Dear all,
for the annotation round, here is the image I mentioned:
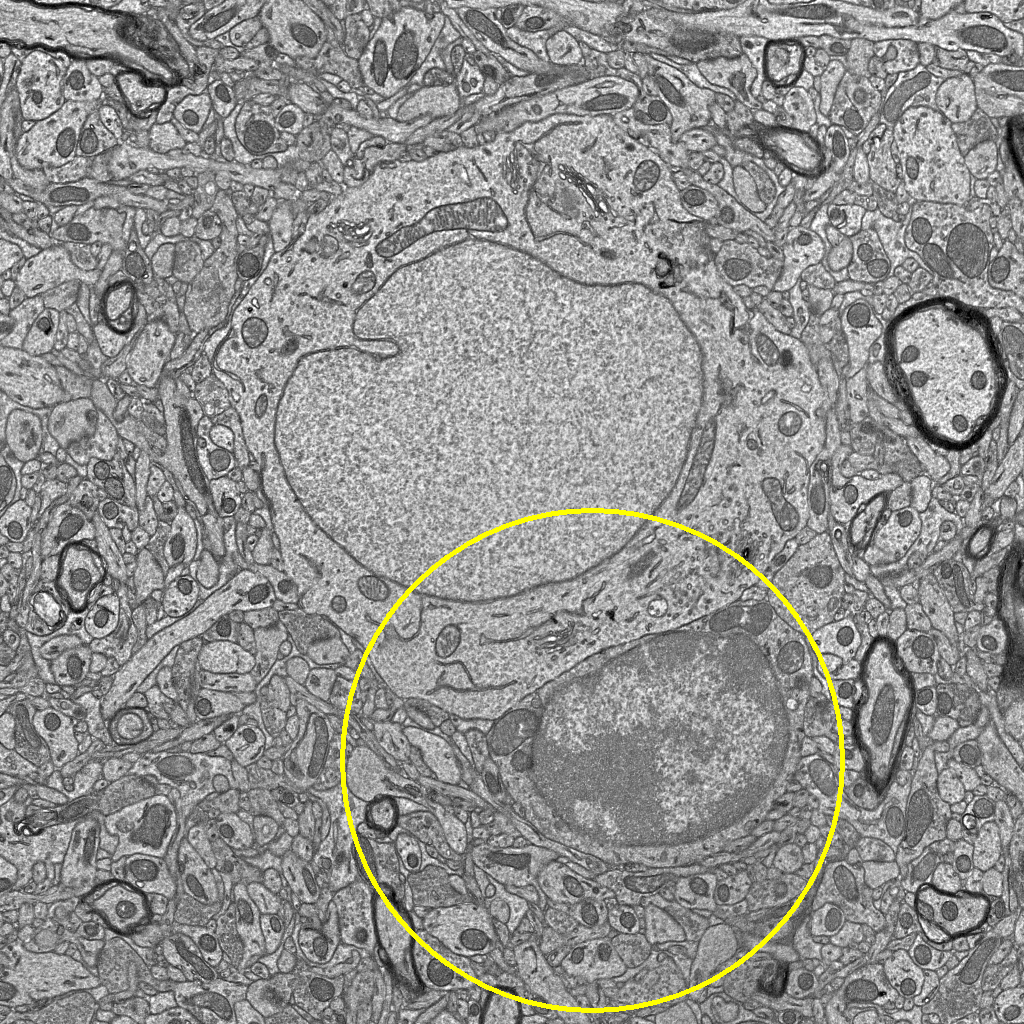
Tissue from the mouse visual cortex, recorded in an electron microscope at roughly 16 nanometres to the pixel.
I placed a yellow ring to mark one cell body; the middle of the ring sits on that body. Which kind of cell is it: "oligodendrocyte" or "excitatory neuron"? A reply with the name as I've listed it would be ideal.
oligodendrocyte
